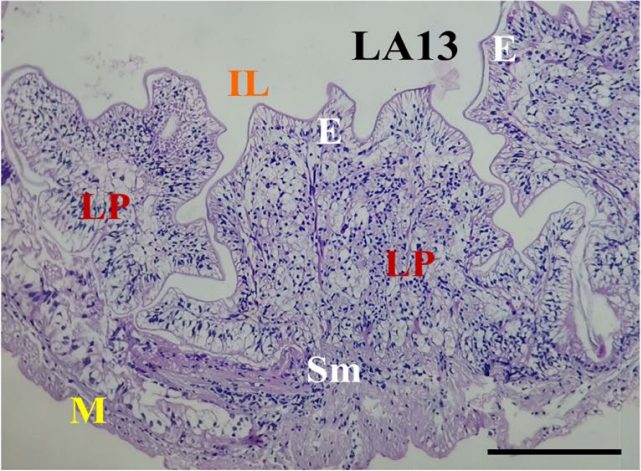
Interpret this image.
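This section of the intestinal wall shows broad mucosal folds projecting into the lumen, each lined by epithelium over a core of lamina propria. The epithelium is a single layer of tall columnar cells with elongated, dark purple nuclei, and its free surface carries a thin pink border facing the lumen. The cores of the folds are filled by lamina propria, a loose, pale, vacuolated-looking tissue scattered with small dark nuclei. Toward the base of the folds lies the submucosa, where the tissue becomes denser with pink, elongated fibrous elements. At the outer edge runs the muscularis layer, a band of pinker, more fibrous tissue.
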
